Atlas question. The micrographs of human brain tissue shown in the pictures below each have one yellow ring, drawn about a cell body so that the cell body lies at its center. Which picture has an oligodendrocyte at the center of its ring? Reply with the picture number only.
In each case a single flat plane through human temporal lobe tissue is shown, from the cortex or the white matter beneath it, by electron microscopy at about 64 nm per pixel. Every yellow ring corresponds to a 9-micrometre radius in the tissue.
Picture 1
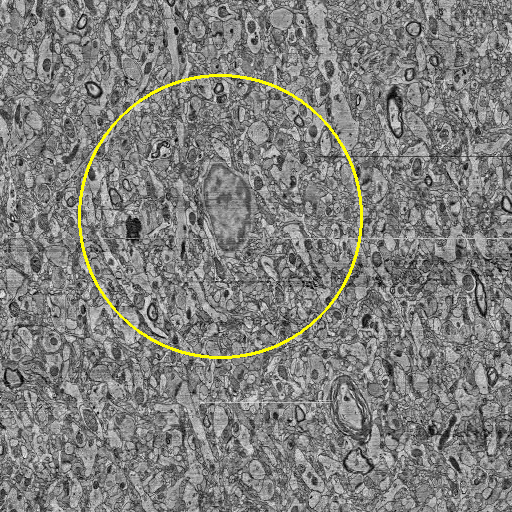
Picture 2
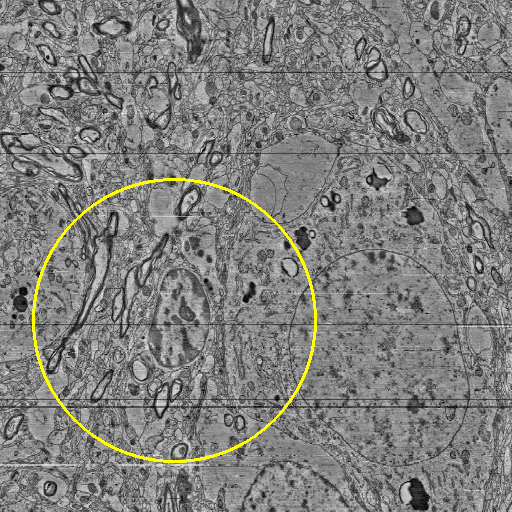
1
